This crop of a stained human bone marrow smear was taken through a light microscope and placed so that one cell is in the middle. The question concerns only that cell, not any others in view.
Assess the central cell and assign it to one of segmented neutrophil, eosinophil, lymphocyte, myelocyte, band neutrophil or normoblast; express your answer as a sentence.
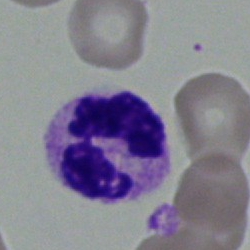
The target cell in the middle of the crop is a segmented neutrophil.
